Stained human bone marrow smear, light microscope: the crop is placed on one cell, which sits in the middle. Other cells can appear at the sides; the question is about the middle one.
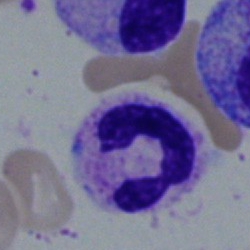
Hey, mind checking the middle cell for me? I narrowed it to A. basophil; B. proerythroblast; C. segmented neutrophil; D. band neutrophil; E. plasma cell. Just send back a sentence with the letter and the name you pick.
The middle of the crop contains a segmented neutrophil, so option C is right.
